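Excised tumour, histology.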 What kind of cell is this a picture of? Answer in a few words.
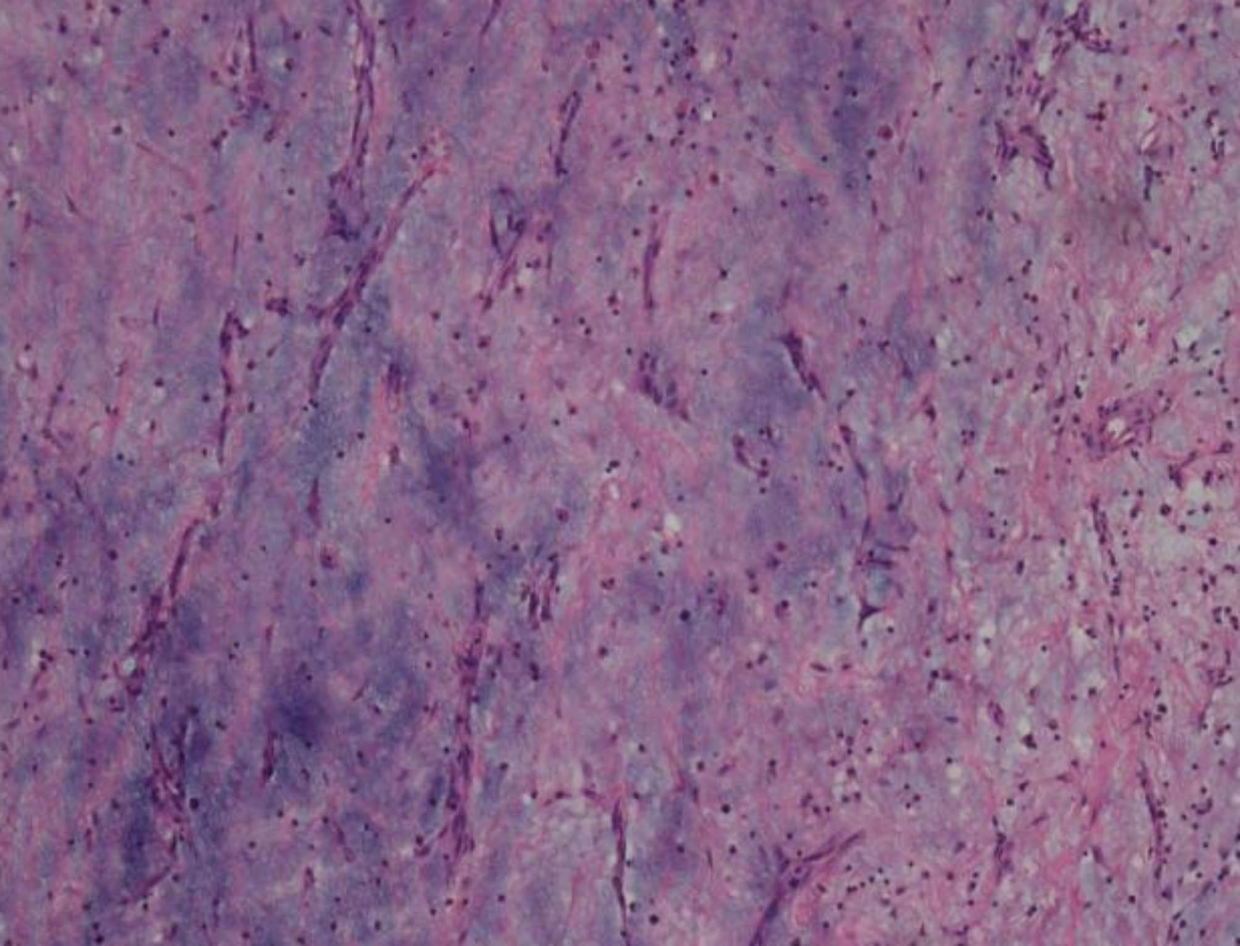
Spindled and stellate cells.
